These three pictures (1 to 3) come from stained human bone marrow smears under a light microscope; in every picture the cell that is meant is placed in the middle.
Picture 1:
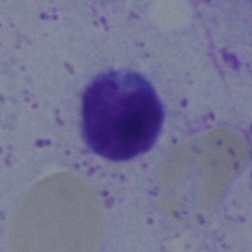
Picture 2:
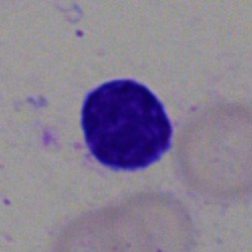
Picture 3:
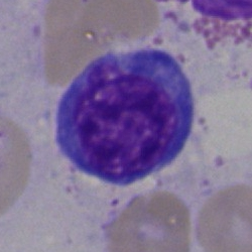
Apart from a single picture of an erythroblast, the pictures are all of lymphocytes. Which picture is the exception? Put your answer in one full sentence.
Picture 3 is the one that shows the erythroblast.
